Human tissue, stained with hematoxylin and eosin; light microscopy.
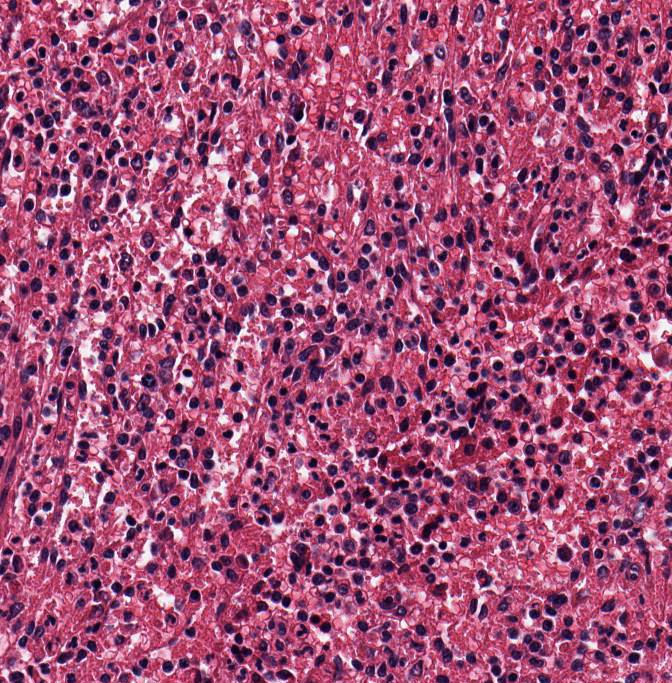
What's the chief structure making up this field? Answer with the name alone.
red pulp of the spleen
